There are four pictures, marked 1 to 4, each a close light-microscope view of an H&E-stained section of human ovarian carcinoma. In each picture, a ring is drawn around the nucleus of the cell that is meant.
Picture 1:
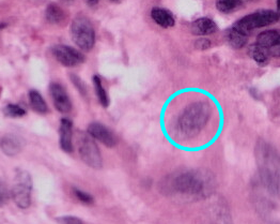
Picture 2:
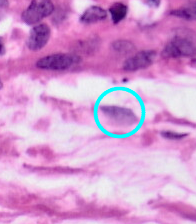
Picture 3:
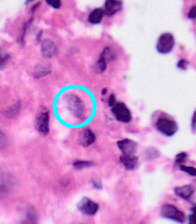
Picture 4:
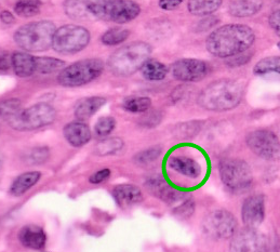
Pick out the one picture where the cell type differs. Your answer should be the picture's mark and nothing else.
4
